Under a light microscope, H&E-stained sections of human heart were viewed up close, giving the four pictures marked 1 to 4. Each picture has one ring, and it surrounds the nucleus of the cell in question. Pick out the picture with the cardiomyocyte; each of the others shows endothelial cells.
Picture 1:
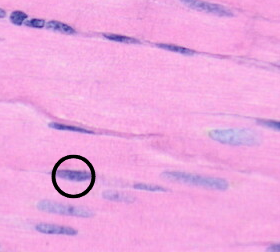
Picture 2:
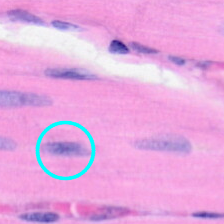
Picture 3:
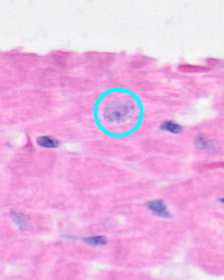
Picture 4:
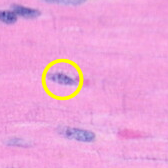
3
